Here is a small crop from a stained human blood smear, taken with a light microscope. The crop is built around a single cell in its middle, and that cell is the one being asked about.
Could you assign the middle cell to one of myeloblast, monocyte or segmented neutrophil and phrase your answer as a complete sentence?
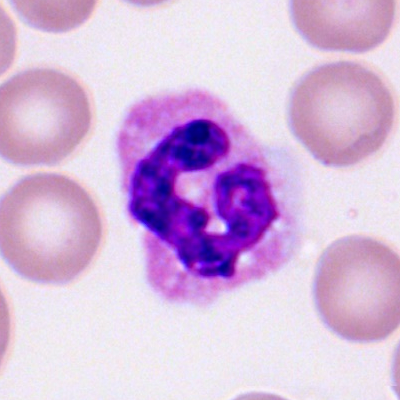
The centrally placed cell is classified as a segmented neutrophil.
